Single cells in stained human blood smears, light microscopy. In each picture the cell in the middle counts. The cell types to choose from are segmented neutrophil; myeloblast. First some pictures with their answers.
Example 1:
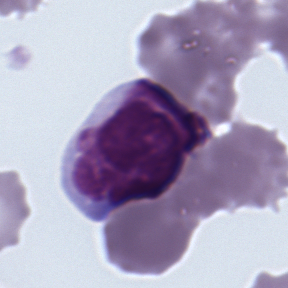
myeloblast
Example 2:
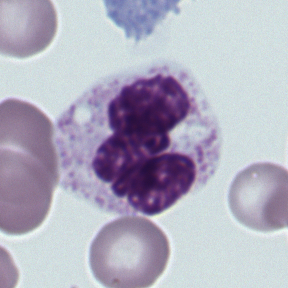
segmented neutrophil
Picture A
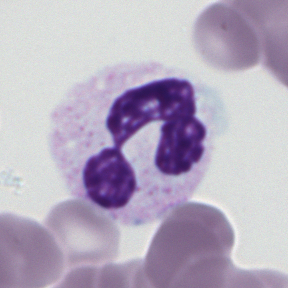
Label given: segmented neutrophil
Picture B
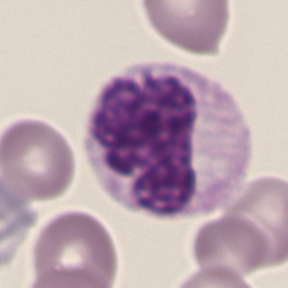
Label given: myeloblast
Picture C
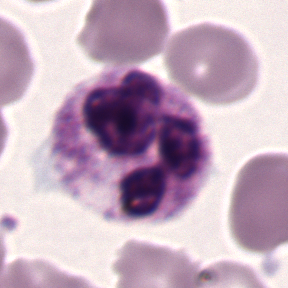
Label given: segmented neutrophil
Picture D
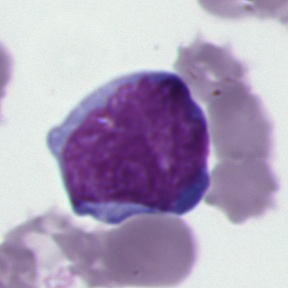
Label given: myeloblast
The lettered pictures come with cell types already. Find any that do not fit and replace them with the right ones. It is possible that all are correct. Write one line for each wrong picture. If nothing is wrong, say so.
B is labelled myeloblast; correct label: segmented neutrophil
